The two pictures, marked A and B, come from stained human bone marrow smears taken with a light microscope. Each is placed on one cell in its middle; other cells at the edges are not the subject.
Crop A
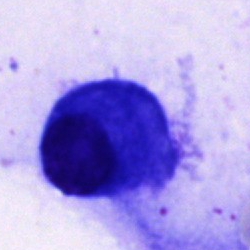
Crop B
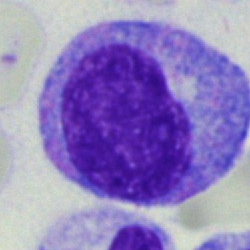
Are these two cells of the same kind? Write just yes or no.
no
